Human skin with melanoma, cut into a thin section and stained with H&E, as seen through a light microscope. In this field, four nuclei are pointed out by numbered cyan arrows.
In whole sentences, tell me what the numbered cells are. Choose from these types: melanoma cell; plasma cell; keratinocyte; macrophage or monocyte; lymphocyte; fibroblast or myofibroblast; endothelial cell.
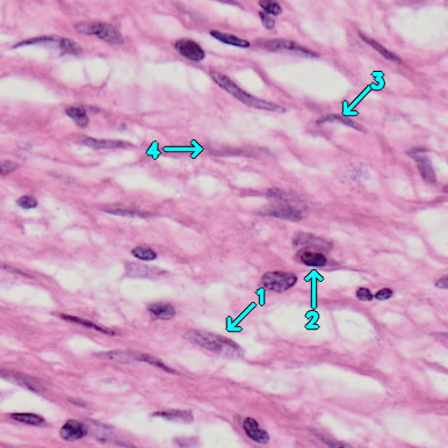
Cell 1 is a fibroblast or myofibroblast, cell 2 is a plasma cell, cell 3 is a fibroblast or myofibroblast and cell 4 is a fibroblast or myofibroblast.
